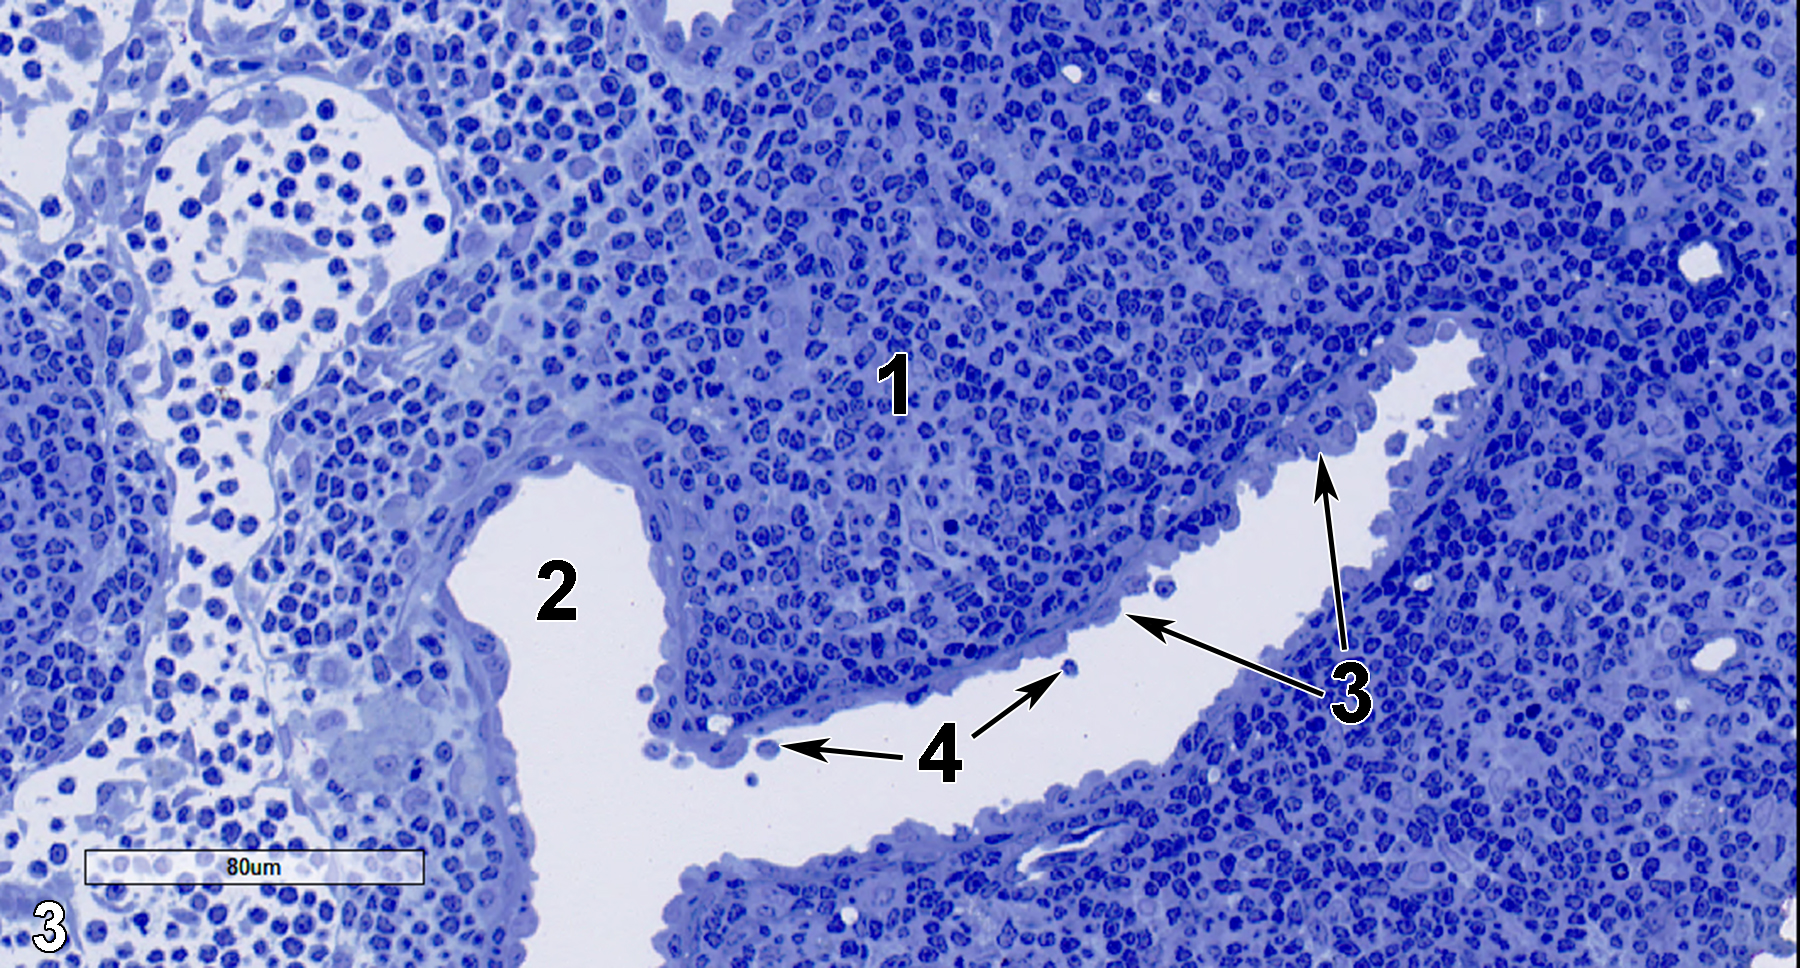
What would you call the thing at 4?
At 4: lymphocytes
